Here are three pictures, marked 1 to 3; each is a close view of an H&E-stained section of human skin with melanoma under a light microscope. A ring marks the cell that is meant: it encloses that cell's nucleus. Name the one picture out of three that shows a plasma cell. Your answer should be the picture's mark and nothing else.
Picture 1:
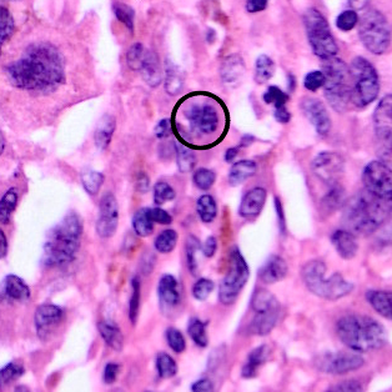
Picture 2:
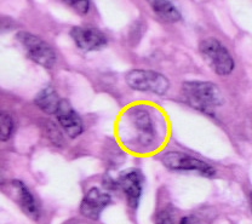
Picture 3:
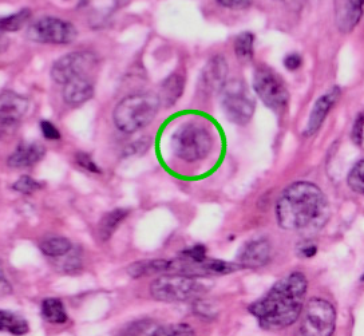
1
